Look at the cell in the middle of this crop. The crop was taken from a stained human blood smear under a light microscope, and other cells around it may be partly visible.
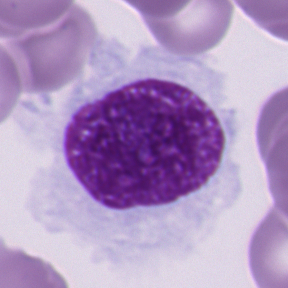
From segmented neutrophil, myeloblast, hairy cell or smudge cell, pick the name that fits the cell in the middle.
hairy cell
